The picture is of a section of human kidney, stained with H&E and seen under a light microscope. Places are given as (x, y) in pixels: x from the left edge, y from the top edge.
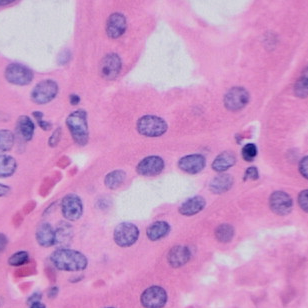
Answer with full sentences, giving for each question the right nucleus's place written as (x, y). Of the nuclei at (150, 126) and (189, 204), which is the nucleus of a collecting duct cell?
The nucleus whose position is (189, 204) belongs to a collecting duct cell.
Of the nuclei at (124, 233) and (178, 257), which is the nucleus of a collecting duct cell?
The one at (124, 233) is the nucleus belonging to a collecting duct cell, not the other one.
